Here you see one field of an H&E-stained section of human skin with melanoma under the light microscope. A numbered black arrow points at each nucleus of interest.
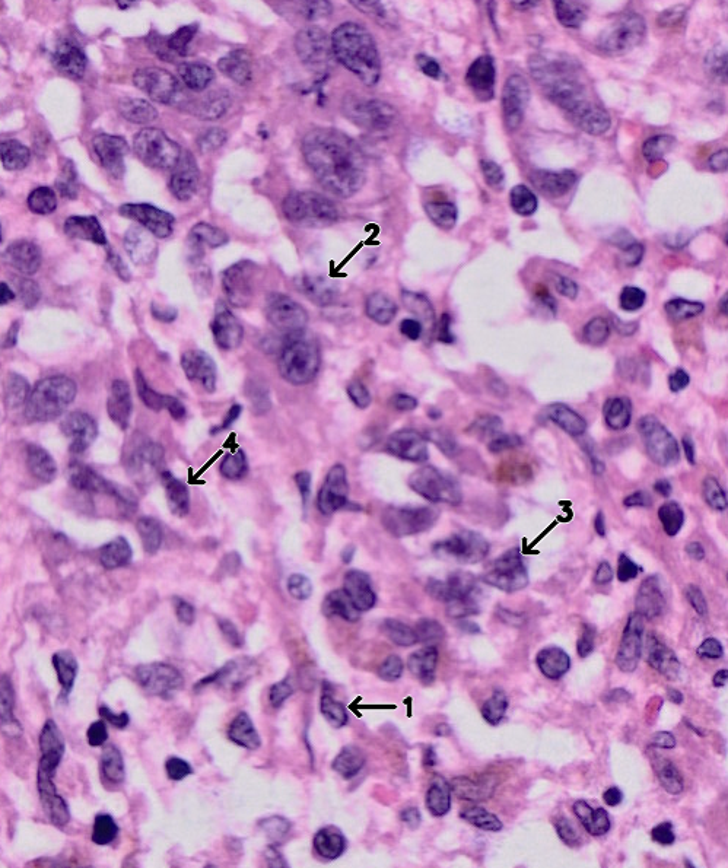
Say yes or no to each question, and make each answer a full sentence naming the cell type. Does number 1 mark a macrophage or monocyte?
Yes, in the section, number 1 is a macrophage or monocyte.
